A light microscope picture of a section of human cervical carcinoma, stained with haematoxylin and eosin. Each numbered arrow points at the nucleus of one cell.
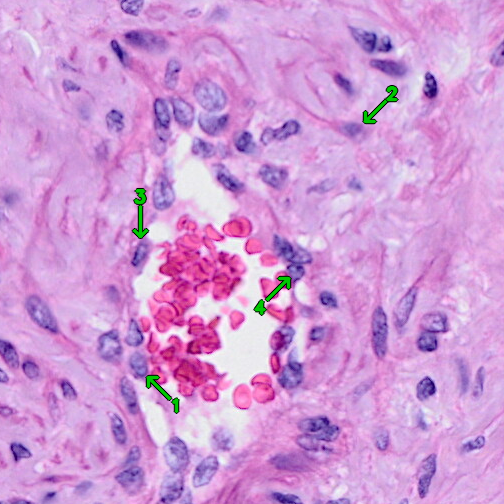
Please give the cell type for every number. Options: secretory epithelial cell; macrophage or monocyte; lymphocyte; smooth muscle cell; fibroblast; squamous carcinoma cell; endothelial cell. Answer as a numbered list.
1. endothelial cell
2. smooth muscle cell
3. endothelial cell
4. endothelial cell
